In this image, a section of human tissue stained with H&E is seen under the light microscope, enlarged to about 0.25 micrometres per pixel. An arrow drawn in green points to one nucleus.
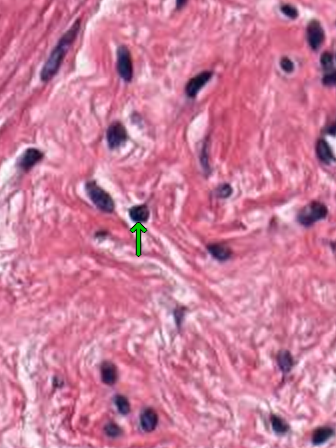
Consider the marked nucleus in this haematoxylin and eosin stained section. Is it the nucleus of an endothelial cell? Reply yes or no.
no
